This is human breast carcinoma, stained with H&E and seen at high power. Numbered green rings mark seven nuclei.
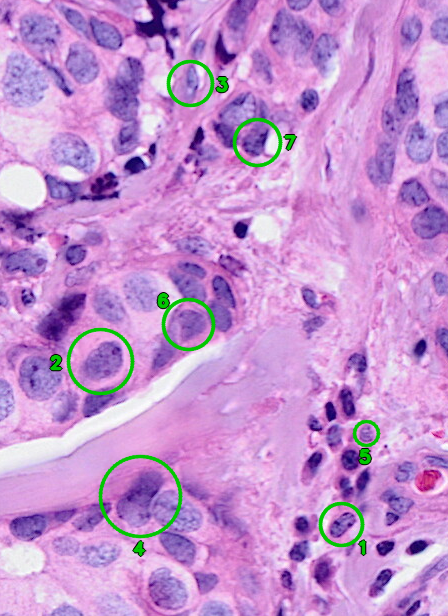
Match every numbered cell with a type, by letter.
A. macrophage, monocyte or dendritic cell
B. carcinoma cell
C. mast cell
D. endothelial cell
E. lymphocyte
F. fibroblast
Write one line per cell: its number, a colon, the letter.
1: C
2: B
3: D
4: B
5: C
6: B
7: B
